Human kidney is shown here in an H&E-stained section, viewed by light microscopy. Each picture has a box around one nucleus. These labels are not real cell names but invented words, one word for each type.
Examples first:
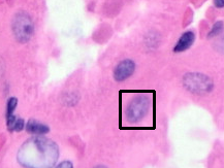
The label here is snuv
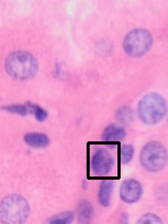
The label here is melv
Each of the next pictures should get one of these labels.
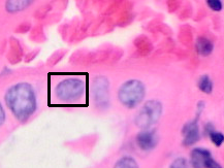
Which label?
melv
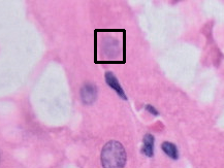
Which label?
snuv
